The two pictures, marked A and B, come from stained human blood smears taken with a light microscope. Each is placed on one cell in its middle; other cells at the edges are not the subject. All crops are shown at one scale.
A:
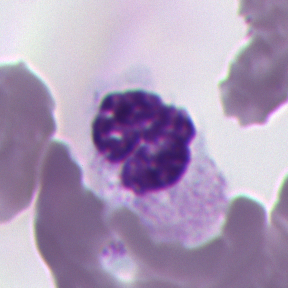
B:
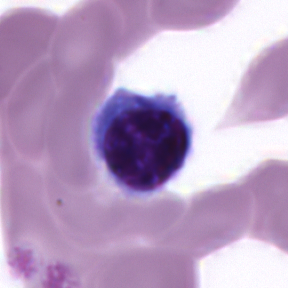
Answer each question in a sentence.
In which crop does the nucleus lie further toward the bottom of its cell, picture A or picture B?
The nucleus in picture B lies further toward the bottom of its cell.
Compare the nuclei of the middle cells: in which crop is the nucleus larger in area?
The nucleus in picture A is larger, with about 1.5 times the area of the one in picture B.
